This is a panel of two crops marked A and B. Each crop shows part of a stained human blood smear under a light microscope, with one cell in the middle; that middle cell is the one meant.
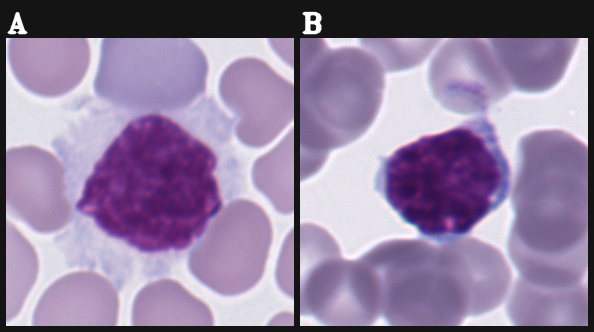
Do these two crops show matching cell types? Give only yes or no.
no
